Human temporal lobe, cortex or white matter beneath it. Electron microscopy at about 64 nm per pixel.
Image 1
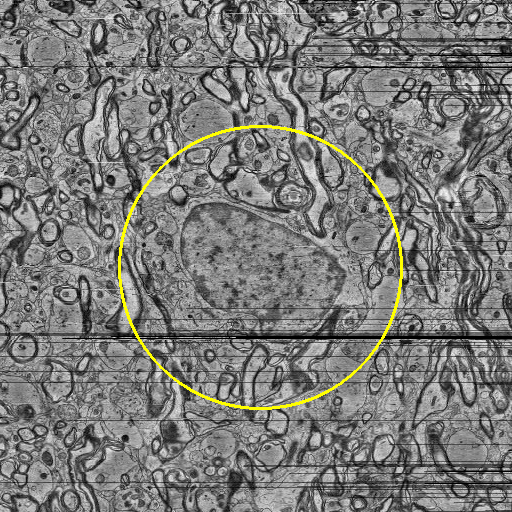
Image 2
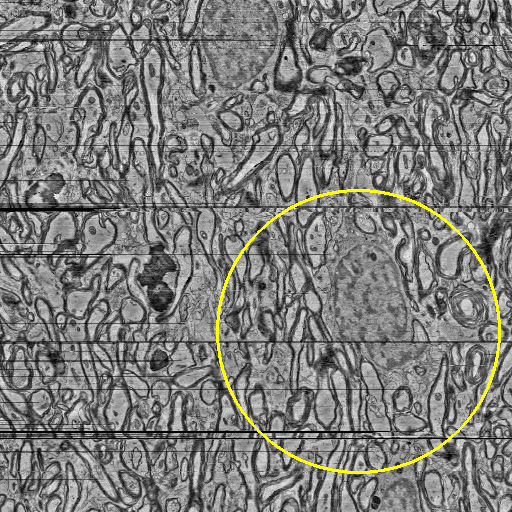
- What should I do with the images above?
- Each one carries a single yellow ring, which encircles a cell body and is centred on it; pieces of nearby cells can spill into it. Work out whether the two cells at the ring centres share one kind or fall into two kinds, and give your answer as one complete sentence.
The ring-centre cells of Image 1 and Image 2 fall into two kinds.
